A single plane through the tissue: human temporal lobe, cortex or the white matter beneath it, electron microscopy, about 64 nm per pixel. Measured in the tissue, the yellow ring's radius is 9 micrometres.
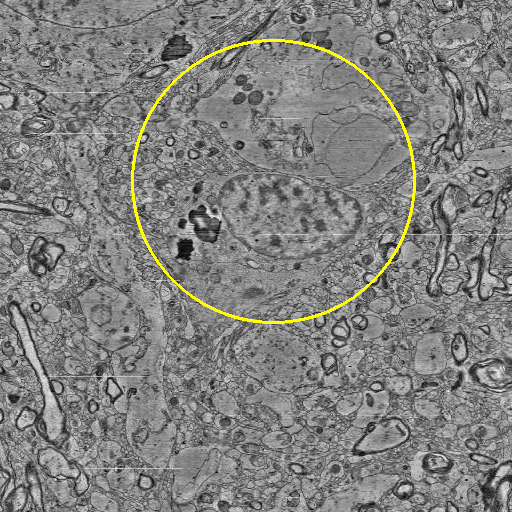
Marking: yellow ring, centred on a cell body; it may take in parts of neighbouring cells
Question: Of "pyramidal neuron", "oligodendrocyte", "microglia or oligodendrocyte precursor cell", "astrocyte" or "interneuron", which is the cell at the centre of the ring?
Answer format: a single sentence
The ring surrounds the body of an oligodendrocyte.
